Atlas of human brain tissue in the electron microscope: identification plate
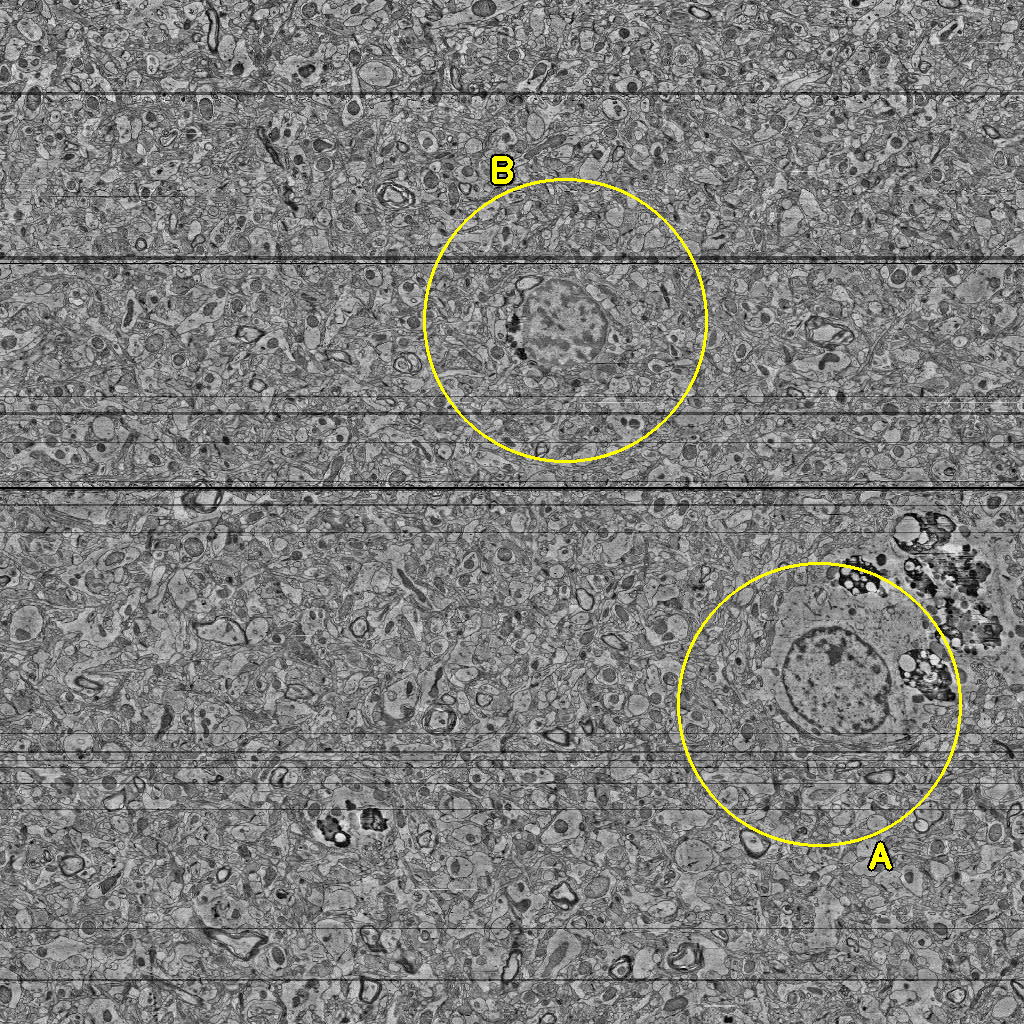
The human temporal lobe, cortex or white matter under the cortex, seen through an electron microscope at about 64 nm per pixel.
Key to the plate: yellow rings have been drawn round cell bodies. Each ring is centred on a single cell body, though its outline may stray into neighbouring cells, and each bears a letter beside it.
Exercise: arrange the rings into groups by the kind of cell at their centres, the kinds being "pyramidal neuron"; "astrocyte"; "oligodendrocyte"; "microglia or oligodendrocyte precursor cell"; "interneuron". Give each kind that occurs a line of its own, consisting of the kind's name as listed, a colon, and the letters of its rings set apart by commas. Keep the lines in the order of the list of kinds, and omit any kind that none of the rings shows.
astrocyte: A
oligodendrocyte: B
